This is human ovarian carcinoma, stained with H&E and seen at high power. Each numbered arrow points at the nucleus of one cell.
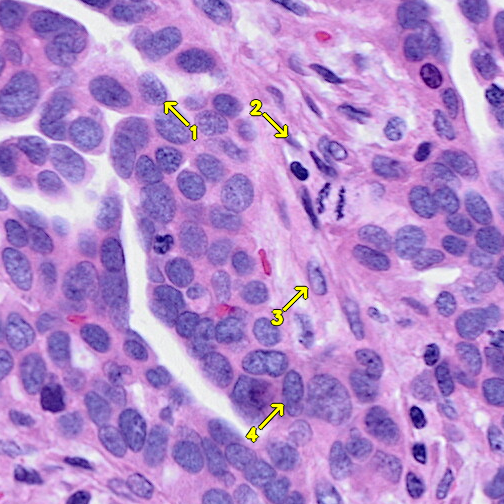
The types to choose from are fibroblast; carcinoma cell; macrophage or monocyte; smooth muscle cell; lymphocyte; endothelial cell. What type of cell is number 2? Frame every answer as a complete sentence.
Denoted by the label 2 in the section is a fibroblast.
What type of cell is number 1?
The nucleus labeled 1 belongs to a carcinoma cell.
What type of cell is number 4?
The cell numbered 4 has been identified as a carcinoma cell.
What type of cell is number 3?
The marked cell bearing number 3 is a fibroblast.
